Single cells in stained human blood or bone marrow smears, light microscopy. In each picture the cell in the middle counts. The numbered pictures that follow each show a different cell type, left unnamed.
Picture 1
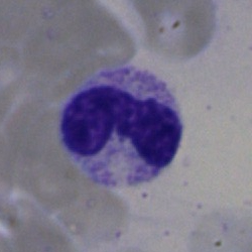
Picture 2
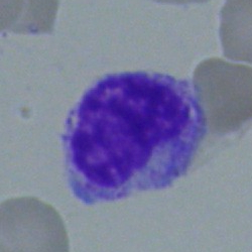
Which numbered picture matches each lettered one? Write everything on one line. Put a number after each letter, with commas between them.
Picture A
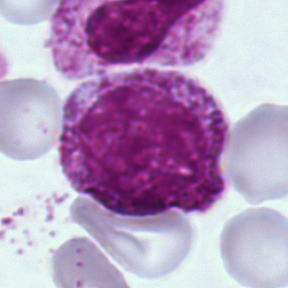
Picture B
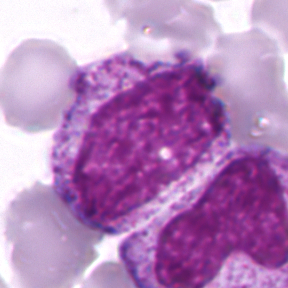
A 2, B 2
